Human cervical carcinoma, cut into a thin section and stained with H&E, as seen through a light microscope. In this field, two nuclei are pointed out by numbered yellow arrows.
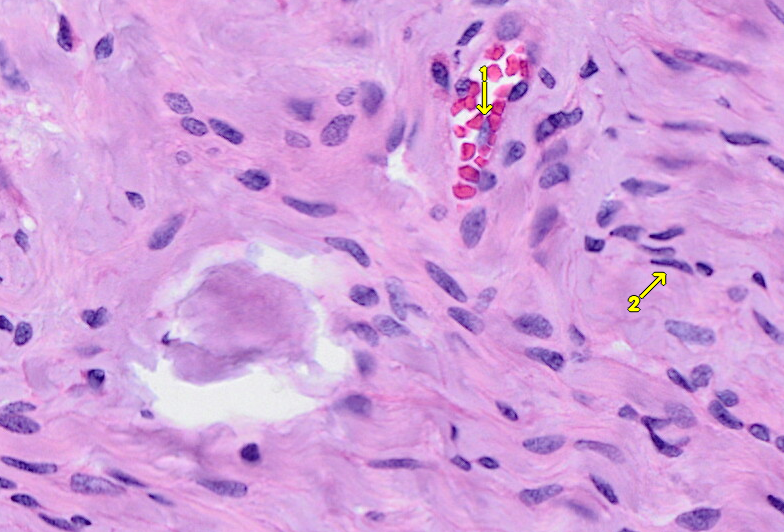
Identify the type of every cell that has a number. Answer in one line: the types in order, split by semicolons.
endothelial cell; fibroblast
